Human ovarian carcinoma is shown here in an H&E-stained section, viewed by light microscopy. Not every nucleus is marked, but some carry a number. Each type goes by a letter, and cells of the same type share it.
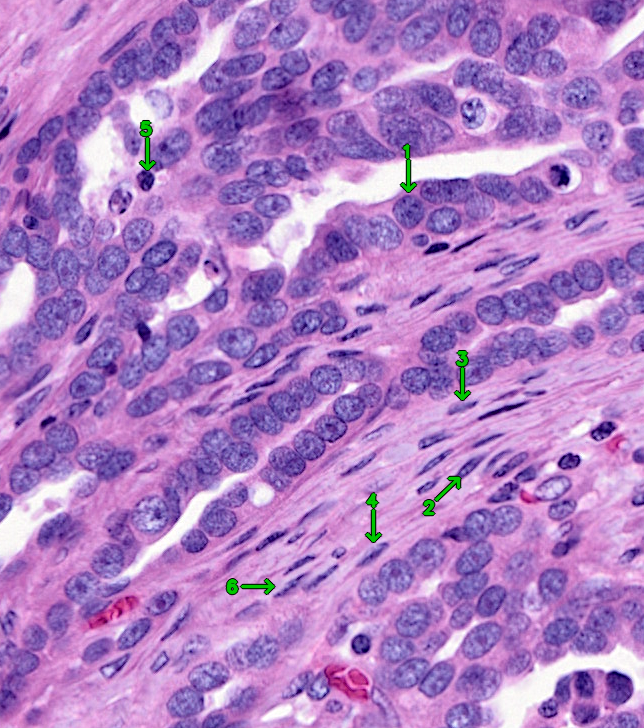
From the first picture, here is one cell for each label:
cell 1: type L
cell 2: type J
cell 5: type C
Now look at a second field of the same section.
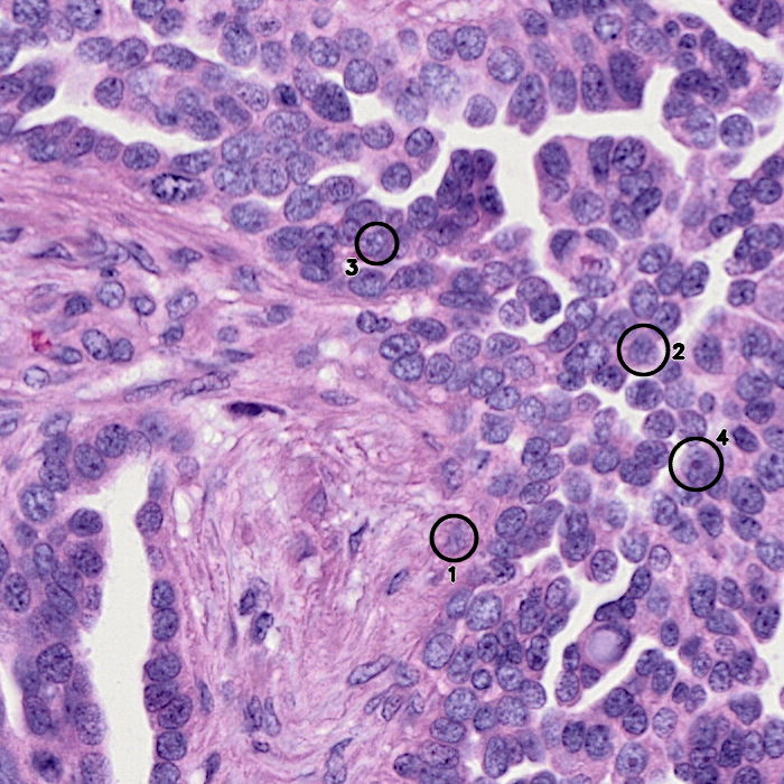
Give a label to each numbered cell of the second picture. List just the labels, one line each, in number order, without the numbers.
type J
type L
type L
type L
